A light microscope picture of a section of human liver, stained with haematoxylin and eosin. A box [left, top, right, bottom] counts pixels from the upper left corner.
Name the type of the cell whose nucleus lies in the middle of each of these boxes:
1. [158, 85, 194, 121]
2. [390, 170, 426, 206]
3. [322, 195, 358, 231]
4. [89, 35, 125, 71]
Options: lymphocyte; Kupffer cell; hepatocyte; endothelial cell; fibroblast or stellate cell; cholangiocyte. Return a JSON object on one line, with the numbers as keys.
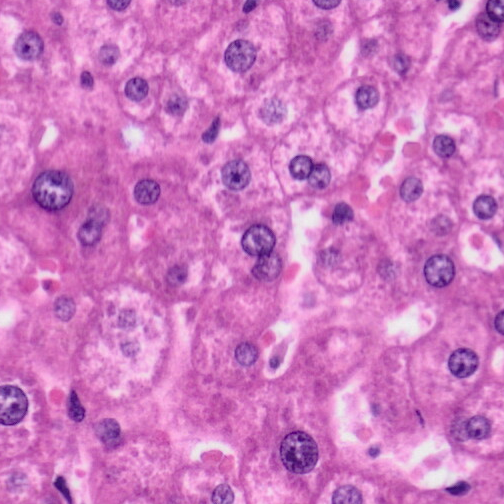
{"1": "hepatocyte", "2": "hepatocyte", "3": "fibroblast or stellate cell", "4": "hepatocyte"}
